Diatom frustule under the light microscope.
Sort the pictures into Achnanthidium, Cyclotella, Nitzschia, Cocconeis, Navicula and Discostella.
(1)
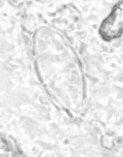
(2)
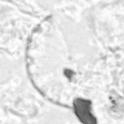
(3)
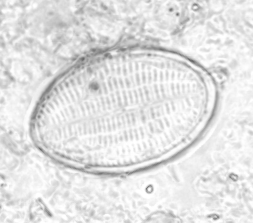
Achnanthidium: 1
Cyclotella: 2
Cocconeis: 3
